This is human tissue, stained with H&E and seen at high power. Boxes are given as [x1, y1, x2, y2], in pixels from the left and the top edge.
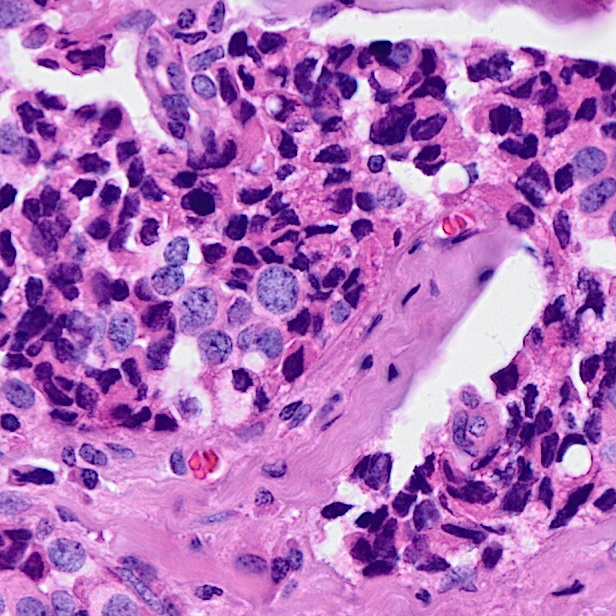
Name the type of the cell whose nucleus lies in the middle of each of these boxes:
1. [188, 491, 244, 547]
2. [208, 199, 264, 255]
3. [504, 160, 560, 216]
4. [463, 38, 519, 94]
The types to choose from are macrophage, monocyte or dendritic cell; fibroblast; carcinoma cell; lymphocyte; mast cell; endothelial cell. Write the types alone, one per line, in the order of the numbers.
fibroblast
carcinoma cell
carcinoma cell
carcinoma cell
